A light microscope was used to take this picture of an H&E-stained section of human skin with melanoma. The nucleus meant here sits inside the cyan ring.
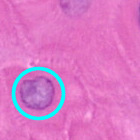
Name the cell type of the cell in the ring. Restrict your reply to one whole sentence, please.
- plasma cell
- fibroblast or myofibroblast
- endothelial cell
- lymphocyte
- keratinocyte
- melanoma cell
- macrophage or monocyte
Microscopically, the cell in the ring is categorized as a keratinocyte.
